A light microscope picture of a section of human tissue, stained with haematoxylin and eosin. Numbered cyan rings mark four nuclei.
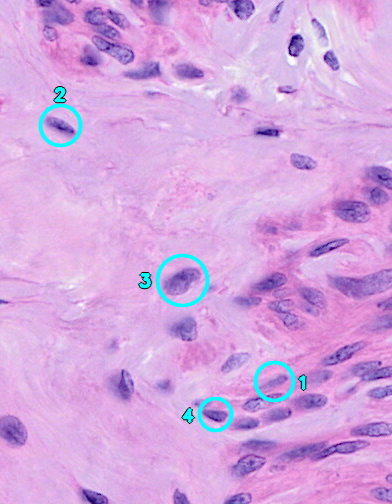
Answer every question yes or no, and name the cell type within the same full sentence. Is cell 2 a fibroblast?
Yes, as for number 2, the cell is a fibroblast.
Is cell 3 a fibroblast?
Yes, the cell carrying number 3 is a fibroblast.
